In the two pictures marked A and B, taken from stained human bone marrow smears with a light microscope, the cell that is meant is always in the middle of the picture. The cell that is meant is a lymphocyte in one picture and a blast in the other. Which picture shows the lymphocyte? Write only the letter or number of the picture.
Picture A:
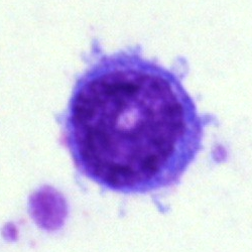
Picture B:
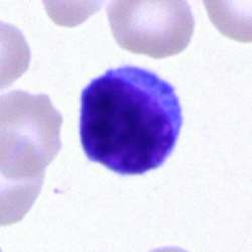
B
